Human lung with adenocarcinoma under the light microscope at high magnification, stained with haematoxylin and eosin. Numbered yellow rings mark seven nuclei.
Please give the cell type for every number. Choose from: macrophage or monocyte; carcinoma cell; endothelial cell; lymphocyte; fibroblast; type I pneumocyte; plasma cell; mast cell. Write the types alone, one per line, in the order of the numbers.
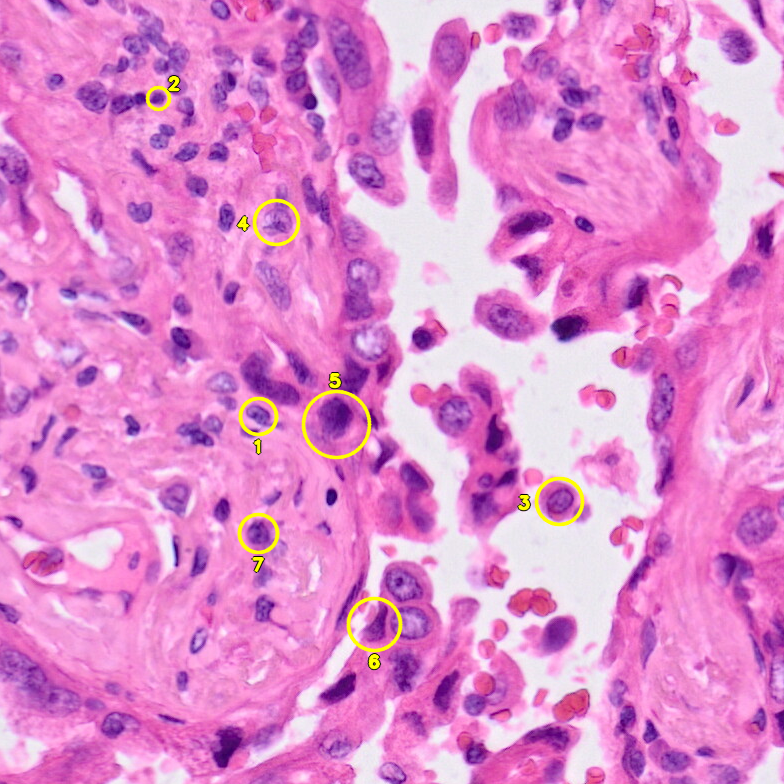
lymphocyte
lymphocyte
macrophage or monocyte
fibroblast
carcinoma cell
carcinoma cell
plasma cell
